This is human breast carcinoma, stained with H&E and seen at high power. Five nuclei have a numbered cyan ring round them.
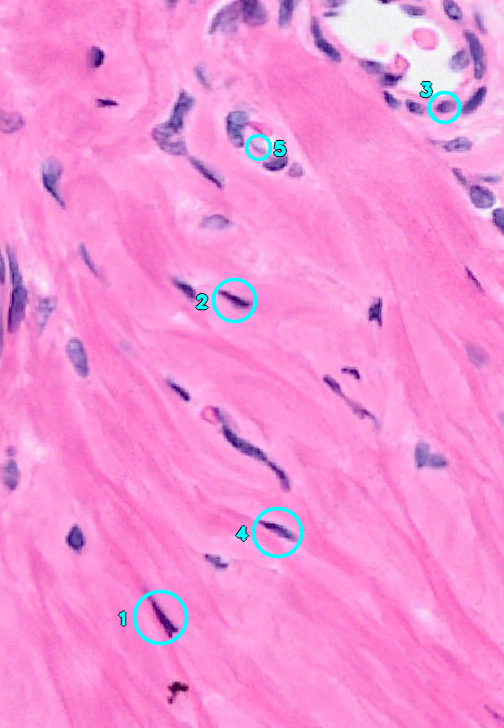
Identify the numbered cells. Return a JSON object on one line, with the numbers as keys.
{"1": "fibroblast", "2": "fibroblast", "3": "endothelial cell", "4": "fibroblast", "5": "endothelial cell"}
